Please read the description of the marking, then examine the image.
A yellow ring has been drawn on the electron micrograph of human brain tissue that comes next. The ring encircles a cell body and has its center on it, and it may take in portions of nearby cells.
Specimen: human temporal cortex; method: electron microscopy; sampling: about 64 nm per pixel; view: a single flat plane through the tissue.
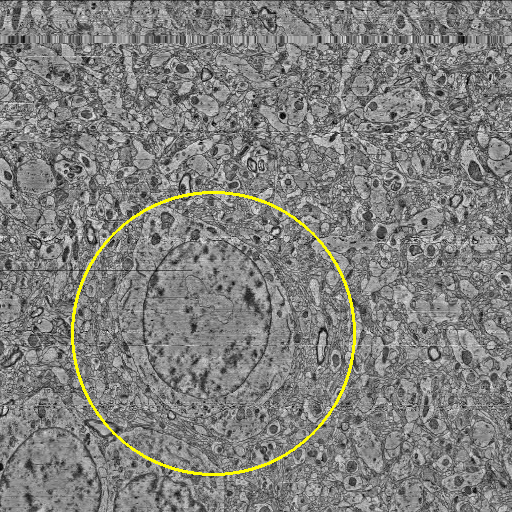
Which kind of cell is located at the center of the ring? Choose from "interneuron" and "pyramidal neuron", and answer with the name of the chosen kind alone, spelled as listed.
pyramidal neuron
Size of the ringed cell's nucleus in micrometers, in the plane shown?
About 11 by 8 micrometres in this plane.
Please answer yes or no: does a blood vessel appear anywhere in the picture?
No.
